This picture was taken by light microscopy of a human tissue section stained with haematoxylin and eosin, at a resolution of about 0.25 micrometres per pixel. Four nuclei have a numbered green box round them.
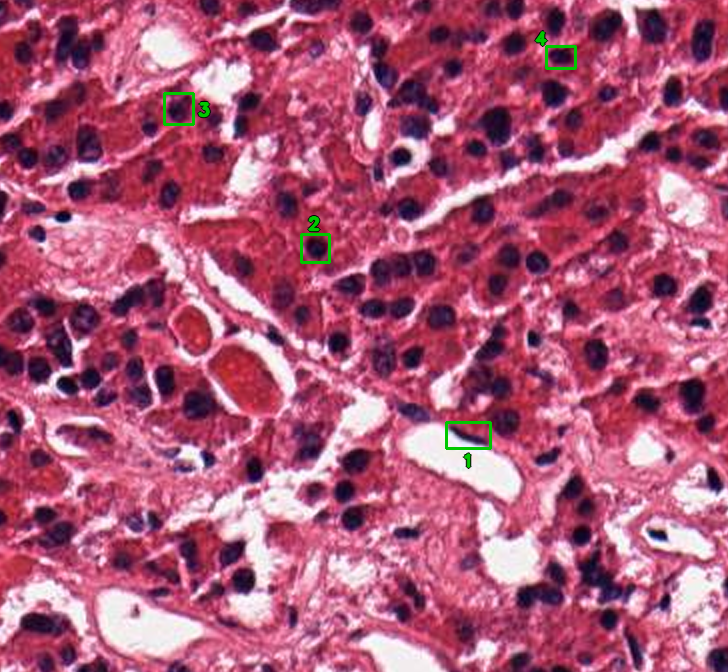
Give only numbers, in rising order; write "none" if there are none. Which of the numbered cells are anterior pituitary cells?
2, 3, 4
